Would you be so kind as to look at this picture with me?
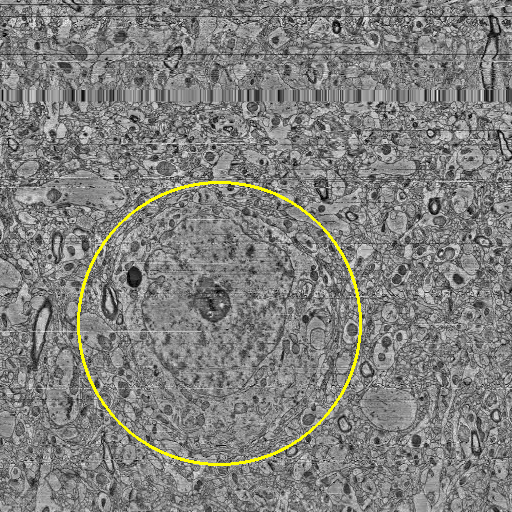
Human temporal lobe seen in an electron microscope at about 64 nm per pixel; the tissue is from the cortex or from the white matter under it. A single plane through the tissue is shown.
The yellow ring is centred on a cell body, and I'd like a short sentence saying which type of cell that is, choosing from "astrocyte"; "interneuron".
The cell body in the ring belongs to an interneuron.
